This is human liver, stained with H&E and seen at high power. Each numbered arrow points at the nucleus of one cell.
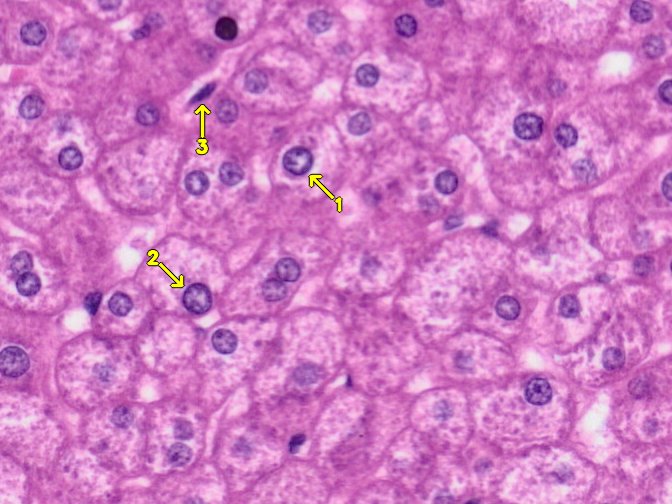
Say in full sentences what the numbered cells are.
Cell 1 is a hepatocyte, cell 2 is a hepatocyte and cell 3 is a Kupffer cell.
